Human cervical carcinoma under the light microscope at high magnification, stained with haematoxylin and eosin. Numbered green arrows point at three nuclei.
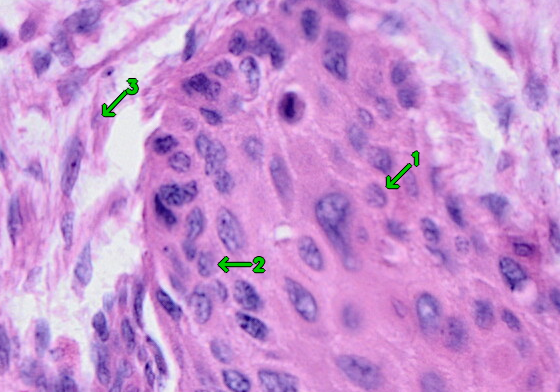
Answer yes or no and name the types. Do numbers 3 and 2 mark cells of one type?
No, cell 3 is a fibroblast and cell 2 is a squamous carcinoma cell.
